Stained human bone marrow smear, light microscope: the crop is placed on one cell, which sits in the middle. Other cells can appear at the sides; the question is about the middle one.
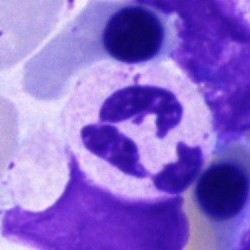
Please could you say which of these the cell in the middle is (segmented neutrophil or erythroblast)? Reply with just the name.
segmented neutrophil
